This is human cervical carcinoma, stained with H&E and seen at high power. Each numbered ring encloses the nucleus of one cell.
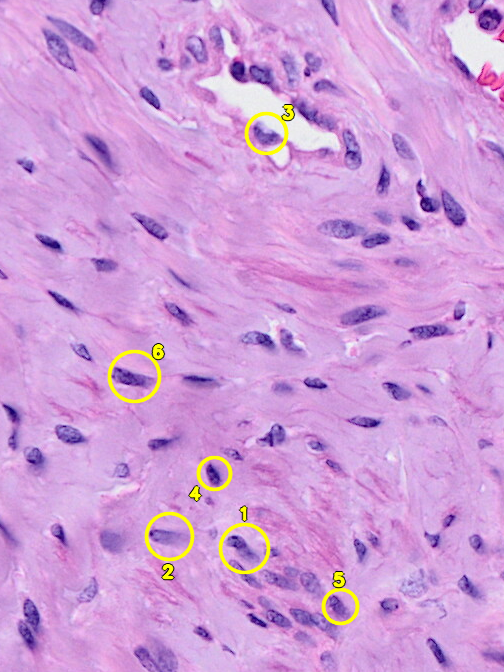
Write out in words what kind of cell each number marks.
Cells 1, 2, 4 and 6 are fibroblasts. Cell 3 is an endothelial cell. Cell 5 is a smooth muscle cell.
